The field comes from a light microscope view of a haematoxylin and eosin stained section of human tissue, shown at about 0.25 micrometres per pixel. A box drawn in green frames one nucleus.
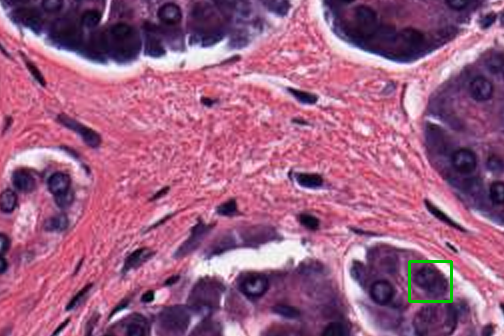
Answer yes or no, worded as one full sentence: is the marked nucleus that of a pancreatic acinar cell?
Yes, the marked nucleus is assigned to a pancreatic acinar cell.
